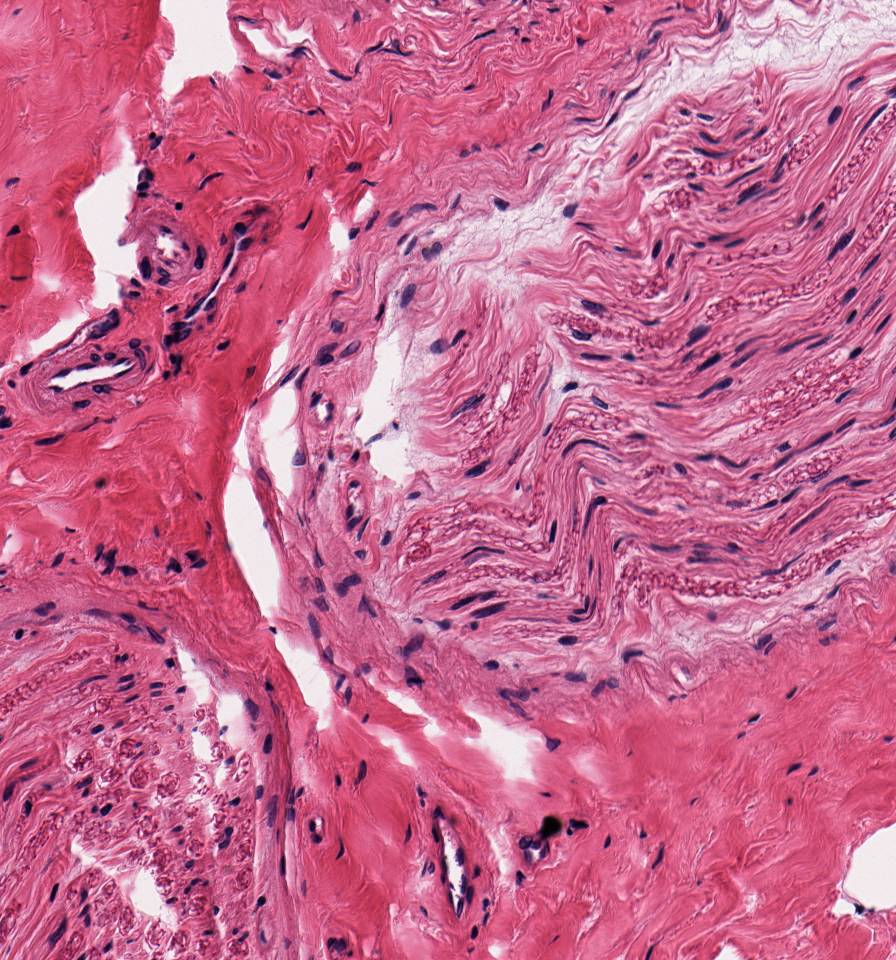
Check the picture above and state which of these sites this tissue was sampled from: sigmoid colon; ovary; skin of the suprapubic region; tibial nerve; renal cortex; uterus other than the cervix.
tibial nerve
